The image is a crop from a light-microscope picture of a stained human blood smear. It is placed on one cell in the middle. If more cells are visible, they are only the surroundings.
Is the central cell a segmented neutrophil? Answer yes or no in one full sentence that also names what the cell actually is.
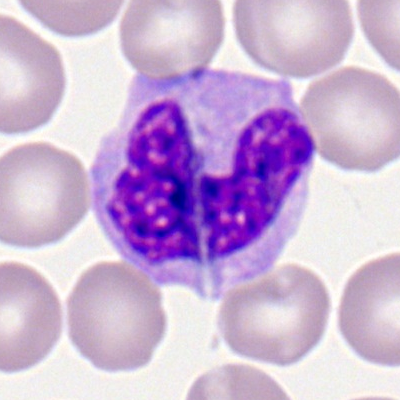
No, it is not a segmented neutrophil that lies in the middle but a monocyte.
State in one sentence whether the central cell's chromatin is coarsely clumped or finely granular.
Answer: the chromatin in this nucleus is coarsely clumped.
